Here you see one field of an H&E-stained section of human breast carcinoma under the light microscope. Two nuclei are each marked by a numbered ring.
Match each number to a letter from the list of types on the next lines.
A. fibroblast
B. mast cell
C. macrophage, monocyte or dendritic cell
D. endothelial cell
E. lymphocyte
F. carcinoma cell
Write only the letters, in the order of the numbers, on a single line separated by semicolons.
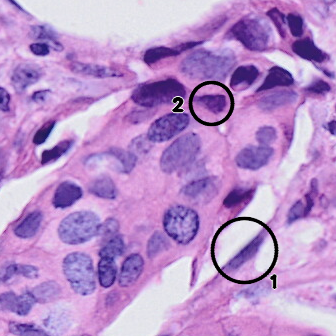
A; F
